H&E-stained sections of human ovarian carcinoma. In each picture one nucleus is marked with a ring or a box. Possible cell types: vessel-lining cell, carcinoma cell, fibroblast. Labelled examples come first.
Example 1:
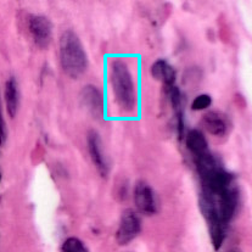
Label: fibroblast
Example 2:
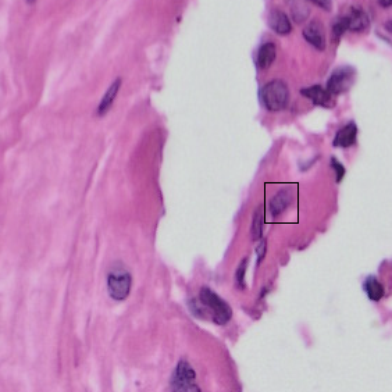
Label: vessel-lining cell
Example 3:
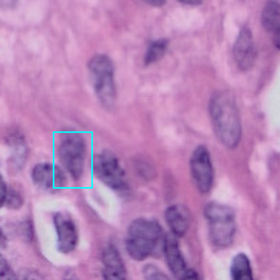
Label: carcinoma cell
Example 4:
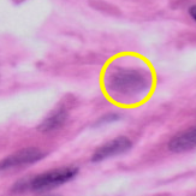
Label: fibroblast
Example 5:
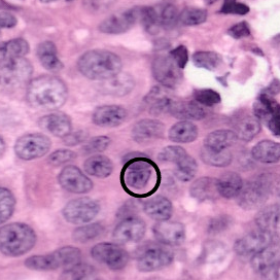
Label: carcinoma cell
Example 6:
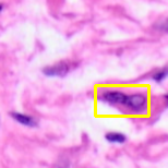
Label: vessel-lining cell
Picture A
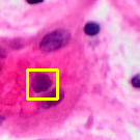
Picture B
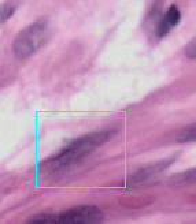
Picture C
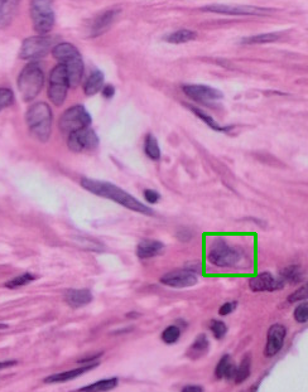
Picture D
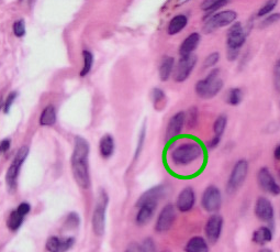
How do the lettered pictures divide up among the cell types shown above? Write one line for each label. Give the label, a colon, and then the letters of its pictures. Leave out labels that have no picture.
vessel-lining cell: A, C, D
fibroblast: B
